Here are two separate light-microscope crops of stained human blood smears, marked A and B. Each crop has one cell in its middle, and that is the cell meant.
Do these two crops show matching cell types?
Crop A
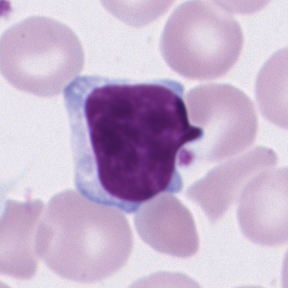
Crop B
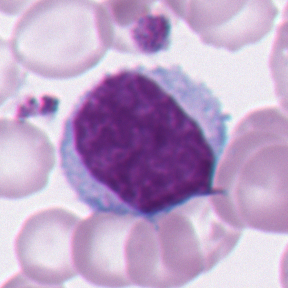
yes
